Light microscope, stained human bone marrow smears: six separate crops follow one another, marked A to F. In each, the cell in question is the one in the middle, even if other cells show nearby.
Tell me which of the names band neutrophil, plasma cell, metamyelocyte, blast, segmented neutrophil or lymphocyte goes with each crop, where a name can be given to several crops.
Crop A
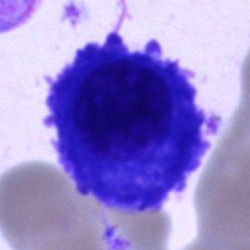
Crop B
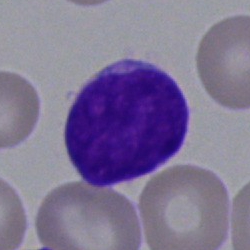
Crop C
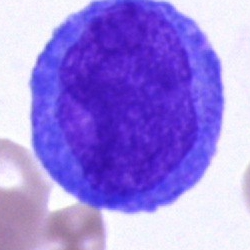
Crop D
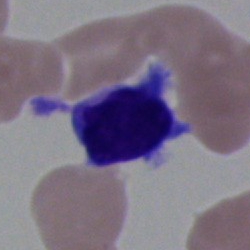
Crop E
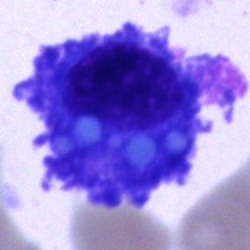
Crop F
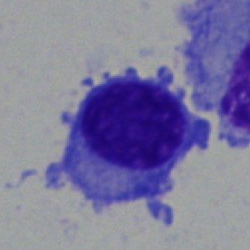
A: plasma cell
B: blast
C: blast
D: lymphocyte
E: plasma cell
F: plasma cell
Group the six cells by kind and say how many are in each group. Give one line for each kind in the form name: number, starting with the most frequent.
plasma cell: 3
blast: 2
lymphocyte: 1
